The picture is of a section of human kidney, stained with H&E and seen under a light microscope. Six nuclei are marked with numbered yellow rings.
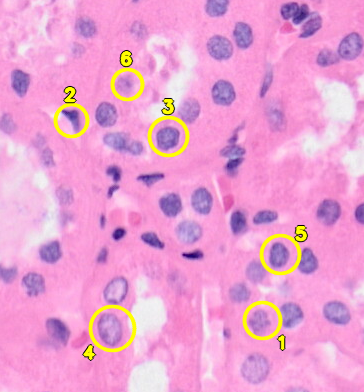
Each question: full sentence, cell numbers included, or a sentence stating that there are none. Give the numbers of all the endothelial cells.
Nothing but cell 2 is an endothelial cell among the numbered ones.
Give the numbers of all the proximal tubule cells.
Exactly one numbered cell is a proximal tubule cell, and that cell is number 4.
